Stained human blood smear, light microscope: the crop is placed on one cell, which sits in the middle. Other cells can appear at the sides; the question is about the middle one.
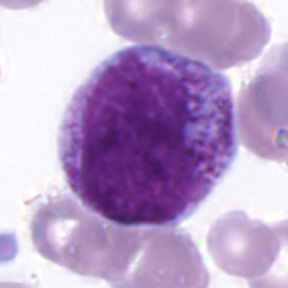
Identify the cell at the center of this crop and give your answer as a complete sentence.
Of the cells in this crop, the central one is a promyelocyte.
